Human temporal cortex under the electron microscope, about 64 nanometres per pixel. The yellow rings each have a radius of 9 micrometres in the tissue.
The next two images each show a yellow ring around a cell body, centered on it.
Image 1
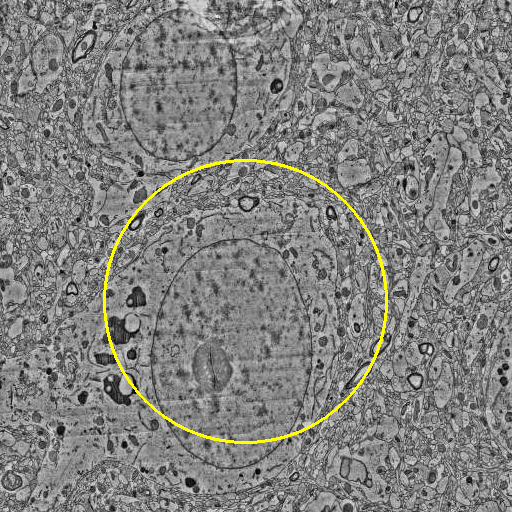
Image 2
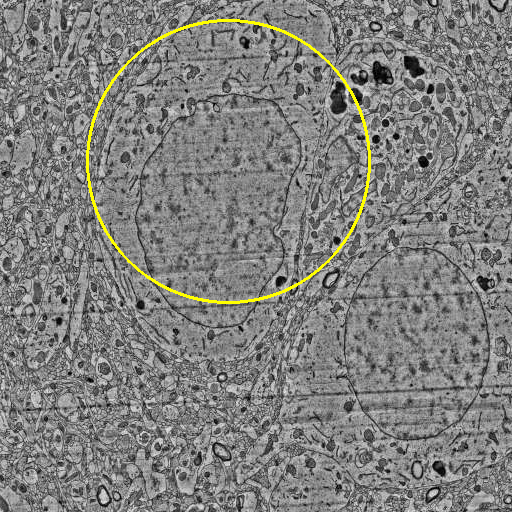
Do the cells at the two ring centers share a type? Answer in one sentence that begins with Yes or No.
Yes, across the two images the cells at the ring centers share one type.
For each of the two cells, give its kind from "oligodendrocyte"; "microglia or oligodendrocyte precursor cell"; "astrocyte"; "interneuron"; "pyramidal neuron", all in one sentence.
Both rings mark a pyramidal neuron, one in each picture.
